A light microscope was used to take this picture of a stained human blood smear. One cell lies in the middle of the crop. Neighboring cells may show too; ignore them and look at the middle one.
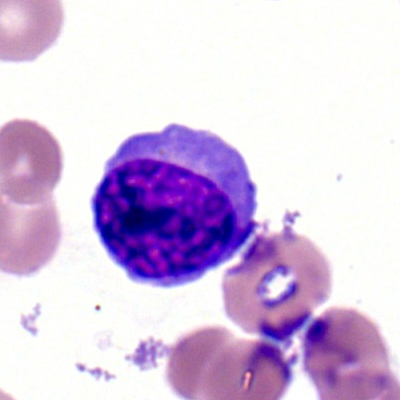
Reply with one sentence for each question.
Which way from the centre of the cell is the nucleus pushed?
Toward the lower left of the cell lies its nucleus.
